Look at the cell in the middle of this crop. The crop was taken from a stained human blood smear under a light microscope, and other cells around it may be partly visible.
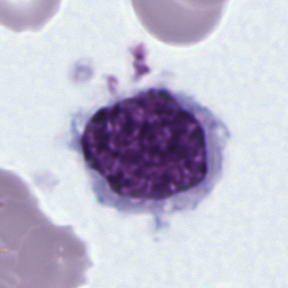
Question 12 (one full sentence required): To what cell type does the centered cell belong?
In the middle of this smear crop, the cell is a plasma cell.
